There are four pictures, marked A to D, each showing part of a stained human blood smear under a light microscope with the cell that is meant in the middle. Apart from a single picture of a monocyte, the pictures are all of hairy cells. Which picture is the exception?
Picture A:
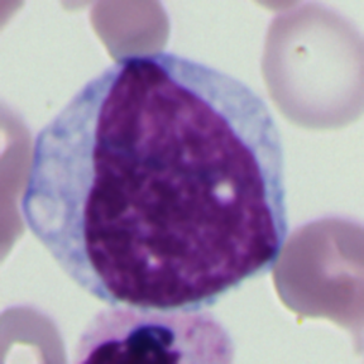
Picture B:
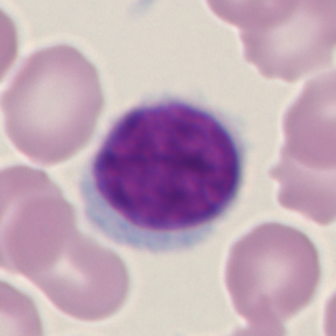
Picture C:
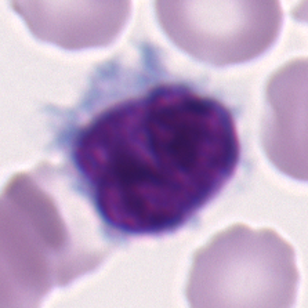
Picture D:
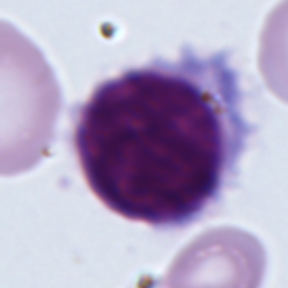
A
